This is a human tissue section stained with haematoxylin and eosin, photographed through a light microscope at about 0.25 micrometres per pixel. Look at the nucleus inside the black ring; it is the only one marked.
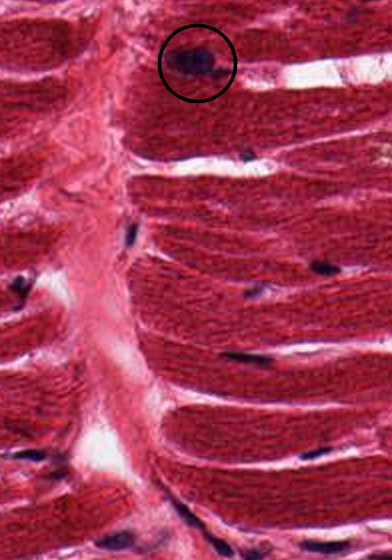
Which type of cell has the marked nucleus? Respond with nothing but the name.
cardiomyocyte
